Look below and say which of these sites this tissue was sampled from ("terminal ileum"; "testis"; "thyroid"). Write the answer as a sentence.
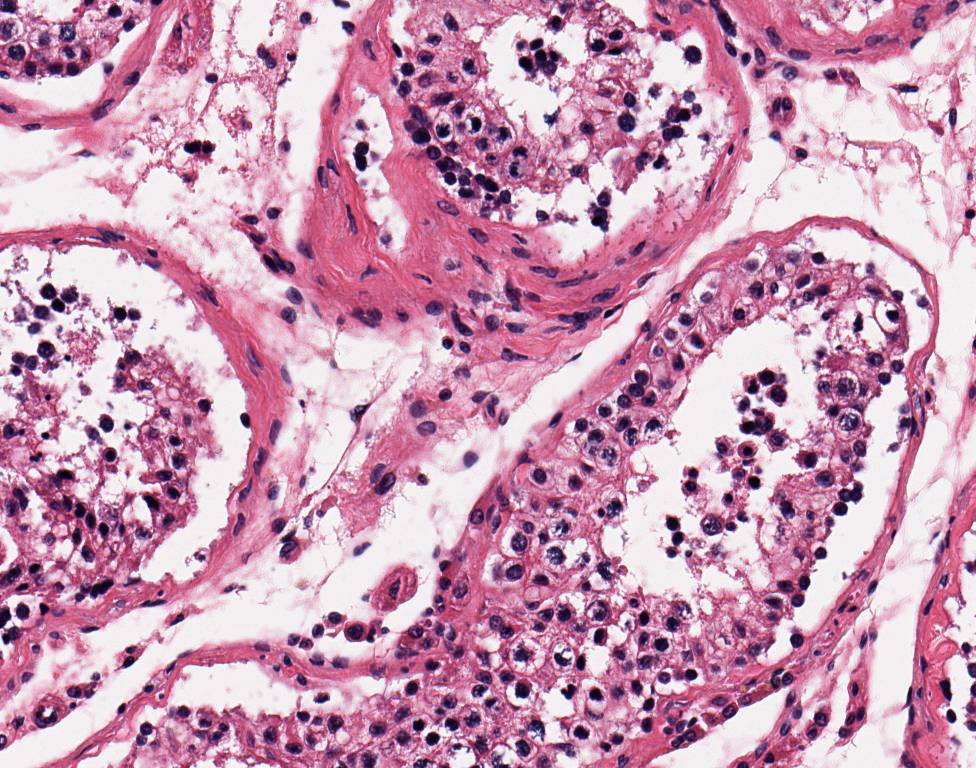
The site this tissue was sampled from is the testis.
